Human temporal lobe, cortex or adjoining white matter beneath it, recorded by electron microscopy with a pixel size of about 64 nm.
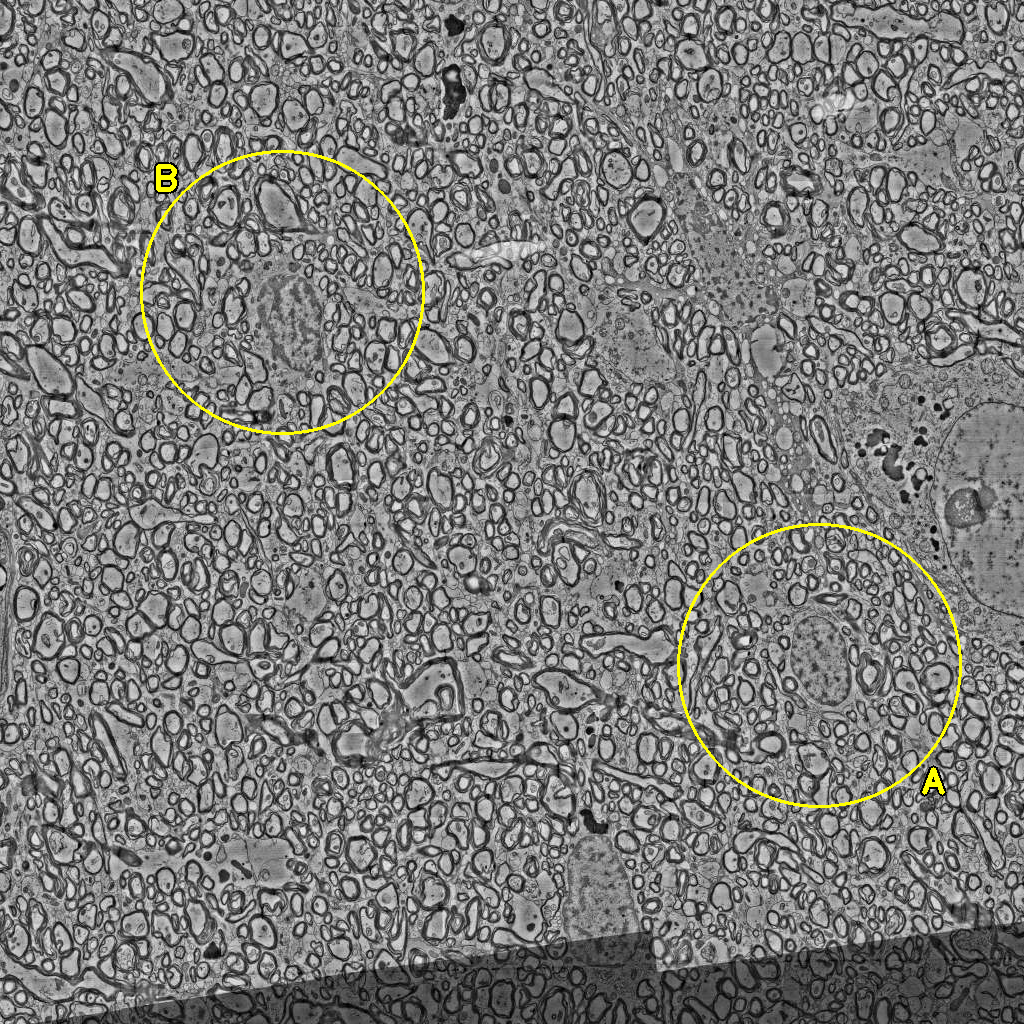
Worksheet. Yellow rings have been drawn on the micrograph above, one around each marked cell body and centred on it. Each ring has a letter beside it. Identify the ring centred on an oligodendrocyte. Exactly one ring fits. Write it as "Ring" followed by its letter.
Ring B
